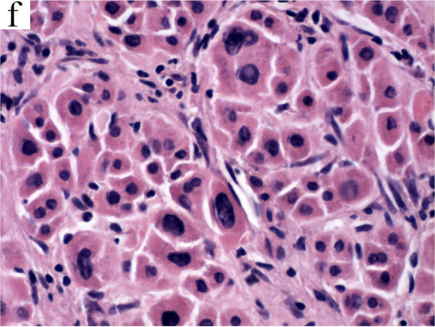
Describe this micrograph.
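Large polygonal tumor cells with abundant, finely granular pink cytoplasm are packed into nests separated by thin strands with slender spindle nuclei. Their cell borders are sharp.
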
